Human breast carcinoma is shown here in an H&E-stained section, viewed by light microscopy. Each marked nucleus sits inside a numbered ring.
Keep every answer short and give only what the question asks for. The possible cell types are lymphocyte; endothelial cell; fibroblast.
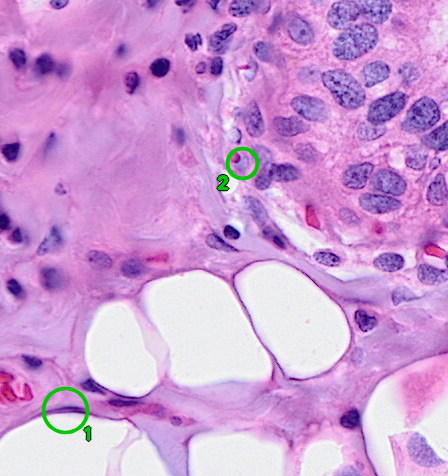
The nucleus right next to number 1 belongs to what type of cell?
fibroblast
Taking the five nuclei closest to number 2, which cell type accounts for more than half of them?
endothelial cell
